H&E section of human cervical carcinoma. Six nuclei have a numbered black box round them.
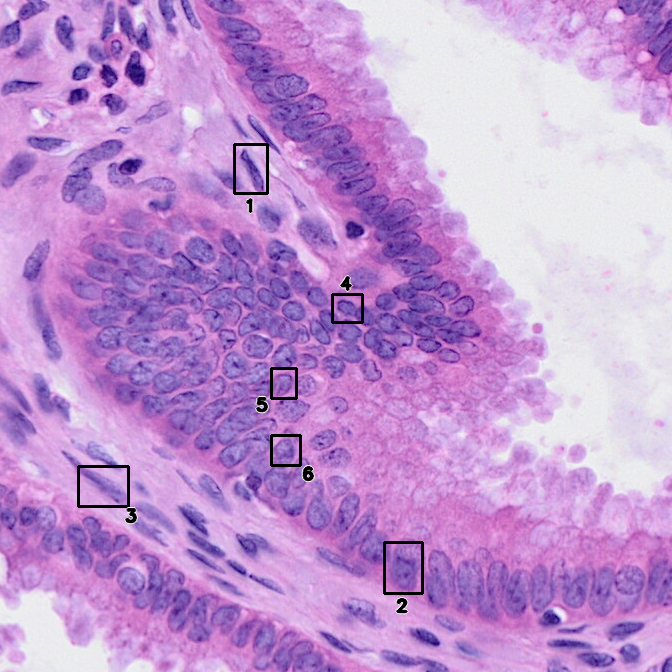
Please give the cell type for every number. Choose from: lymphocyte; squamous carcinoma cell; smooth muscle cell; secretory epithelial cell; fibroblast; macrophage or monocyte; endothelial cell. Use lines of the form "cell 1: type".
cell 1: fibroblast
cell 2: secretory epithelial cell
cell 3: fibroblast
cell 4: secretory epithelial cell
cell 5: secretory epithelial cell
cell 6: secretory epithelial cell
